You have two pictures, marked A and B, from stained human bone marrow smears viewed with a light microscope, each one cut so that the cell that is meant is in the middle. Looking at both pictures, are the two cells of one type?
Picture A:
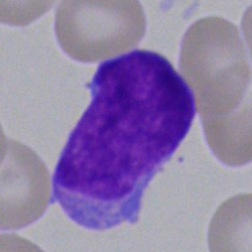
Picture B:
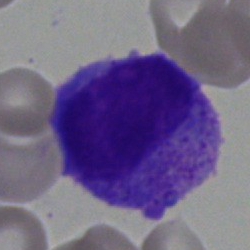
yes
